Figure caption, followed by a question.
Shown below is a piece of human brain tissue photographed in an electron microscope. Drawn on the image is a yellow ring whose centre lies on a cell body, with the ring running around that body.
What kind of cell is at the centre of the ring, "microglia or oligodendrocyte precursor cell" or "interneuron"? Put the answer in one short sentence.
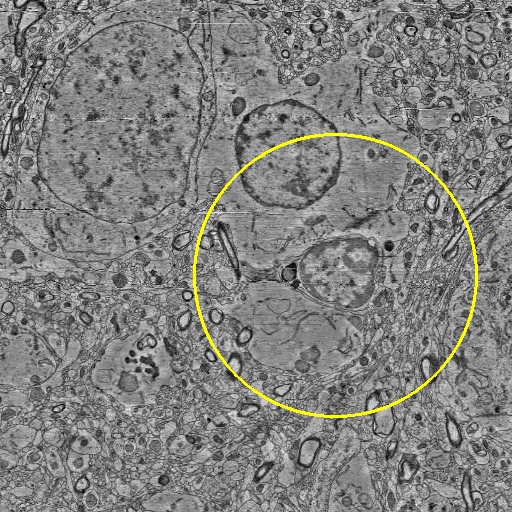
The ring marks the cell body of a microglial cell or oligodendrocyte precursor cell.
